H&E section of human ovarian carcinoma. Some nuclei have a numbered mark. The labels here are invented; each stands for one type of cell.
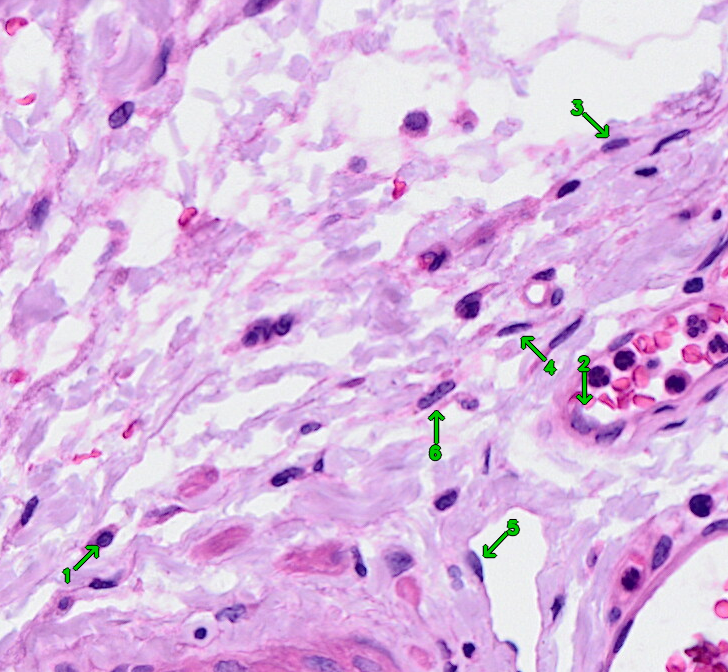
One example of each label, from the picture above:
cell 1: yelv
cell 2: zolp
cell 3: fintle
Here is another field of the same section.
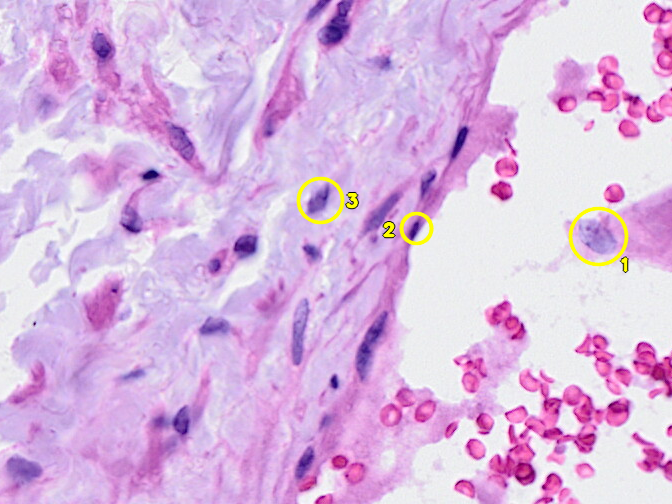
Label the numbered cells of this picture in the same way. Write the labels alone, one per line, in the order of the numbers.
zolp
zolp
fintle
